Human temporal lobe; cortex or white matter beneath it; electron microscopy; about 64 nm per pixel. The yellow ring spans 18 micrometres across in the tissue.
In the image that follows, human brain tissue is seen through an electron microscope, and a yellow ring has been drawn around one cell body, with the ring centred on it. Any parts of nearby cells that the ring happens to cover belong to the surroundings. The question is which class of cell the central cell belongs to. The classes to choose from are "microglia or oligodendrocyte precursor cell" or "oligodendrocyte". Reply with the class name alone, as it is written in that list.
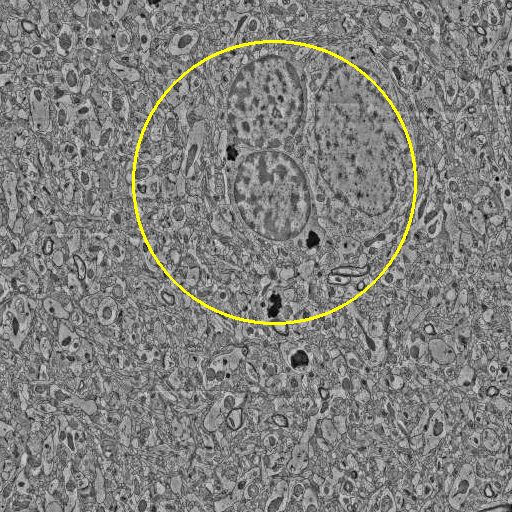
oligodendrocyte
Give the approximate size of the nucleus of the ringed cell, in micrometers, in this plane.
In this plane the nucleus measures roughly 6 by 5 micrometers.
